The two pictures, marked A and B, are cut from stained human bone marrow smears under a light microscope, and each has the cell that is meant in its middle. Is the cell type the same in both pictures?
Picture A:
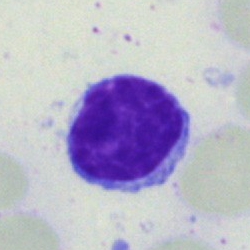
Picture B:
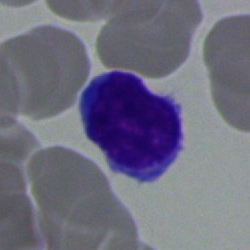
yes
